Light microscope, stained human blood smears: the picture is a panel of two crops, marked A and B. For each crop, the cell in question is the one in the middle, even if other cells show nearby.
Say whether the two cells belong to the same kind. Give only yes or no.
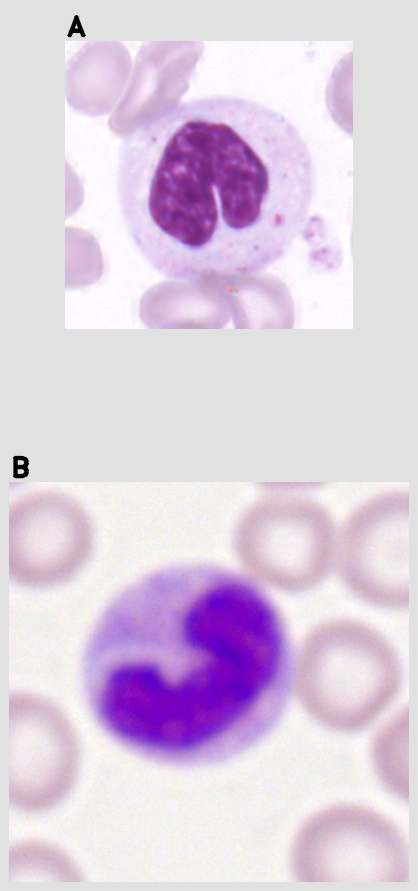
yes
